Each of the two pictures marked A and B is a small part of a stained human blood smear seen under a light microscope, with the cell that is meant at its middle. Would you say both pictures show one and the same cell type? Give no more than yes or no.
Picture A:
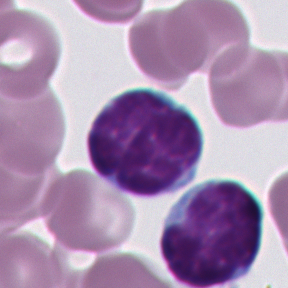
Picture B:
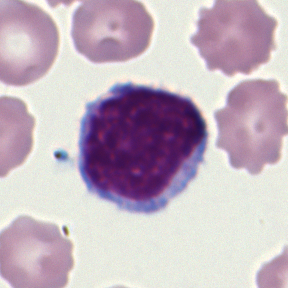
yes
